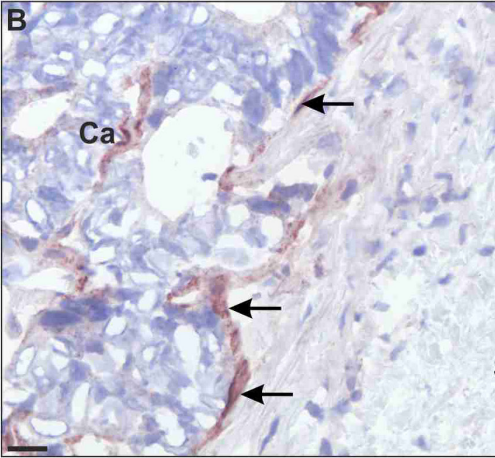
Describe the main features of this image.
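On the left the tumour forms glands of crowded cells with blue nuclei and many small clear spaces. Thin, elongated red-brown stained cells outline the edge of the tumour tissue and extend between groups of tumour cells. To the right the stroma is pale and fibrous with sparse elongated nuclei.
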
